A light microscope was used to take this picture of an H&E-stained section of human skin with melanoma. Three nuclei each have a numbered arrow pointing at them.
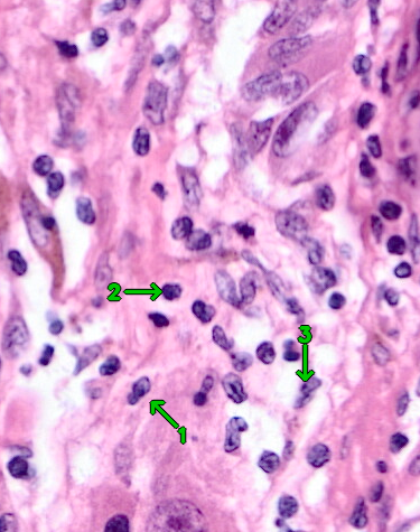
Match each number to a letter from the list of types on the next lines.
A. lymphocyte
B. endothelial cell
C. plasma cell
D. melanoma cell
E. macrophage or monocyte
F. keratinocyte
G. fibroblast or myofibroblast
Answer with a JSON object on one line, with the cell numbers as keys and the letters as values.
{"1": "A", "2": "A", "3": "E"}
